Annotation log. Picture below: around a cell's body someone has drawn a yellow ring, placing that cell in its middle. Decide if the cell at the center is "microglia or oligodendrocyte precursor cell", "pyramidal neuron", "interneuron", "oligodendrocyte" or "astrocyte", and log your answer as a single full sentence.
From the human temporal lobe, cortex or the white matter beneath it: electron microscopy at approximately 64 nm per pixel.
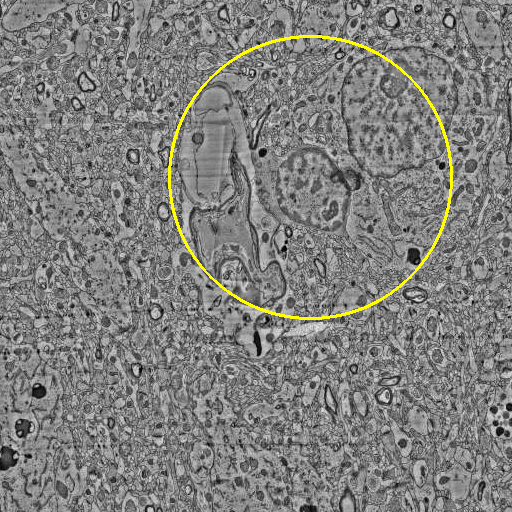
My entry records an oligodendrocyte as the cell sitting at the center of the yellow ring.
